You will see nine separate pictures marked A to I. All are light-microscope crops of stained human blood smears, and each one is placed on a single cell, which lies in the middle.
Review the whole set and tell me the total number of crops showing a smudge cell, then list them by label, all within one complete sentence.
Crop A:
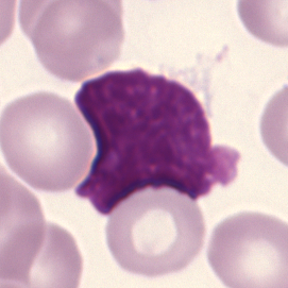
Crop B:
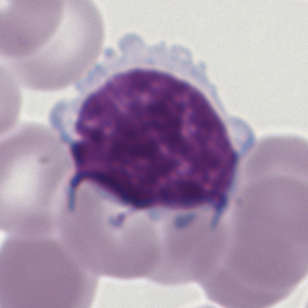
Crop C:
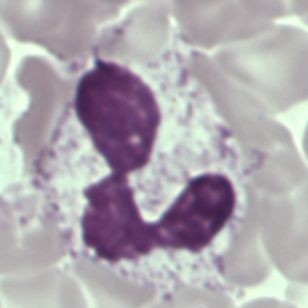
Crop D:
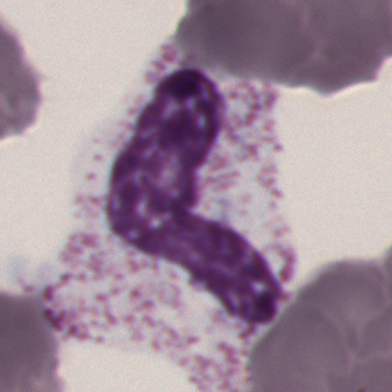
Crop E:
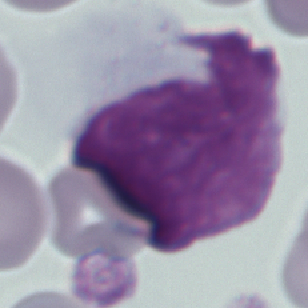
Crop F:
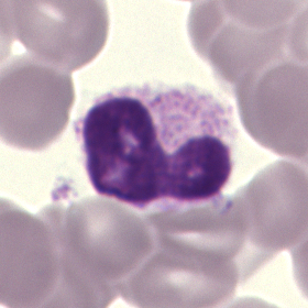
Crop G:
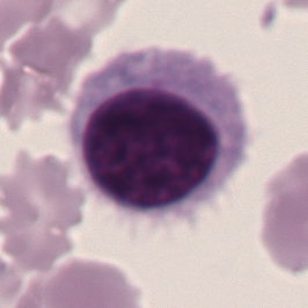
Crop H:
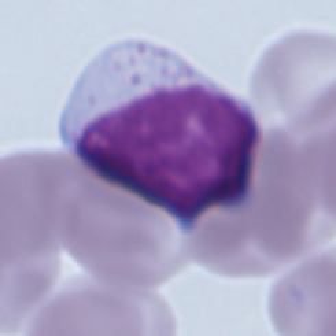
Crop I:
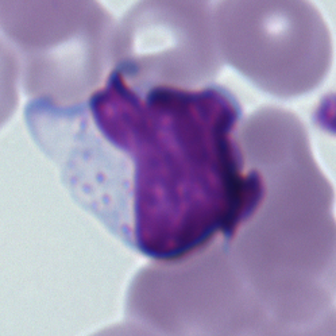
Crops A and E show smudge cells, making two in all.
